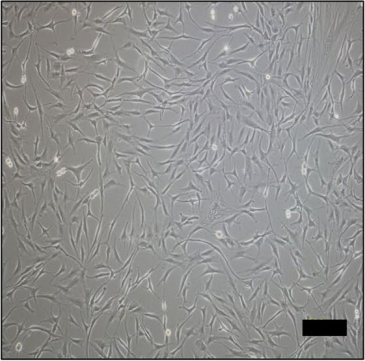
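This is a near-confluent culture of flat, adherent cells seen without staining. Most cells are elongated and spindle-shaped, tapering at both ends into thin extensions. Many cells lie roughly parallel to their neighbours, forming loose streams across the field, while elsewhere they cross at various angles. A few small, round, refractile cells sit scattered among the spread cells. No clumps or multilayered areas are evident.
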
